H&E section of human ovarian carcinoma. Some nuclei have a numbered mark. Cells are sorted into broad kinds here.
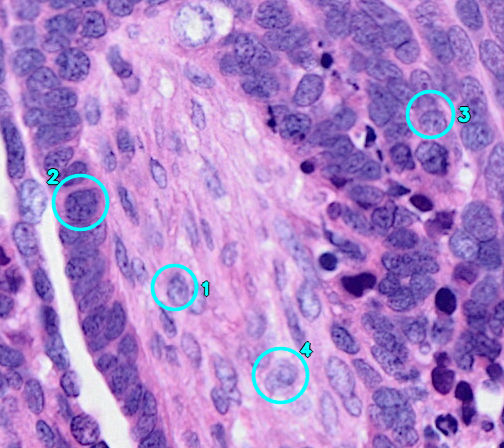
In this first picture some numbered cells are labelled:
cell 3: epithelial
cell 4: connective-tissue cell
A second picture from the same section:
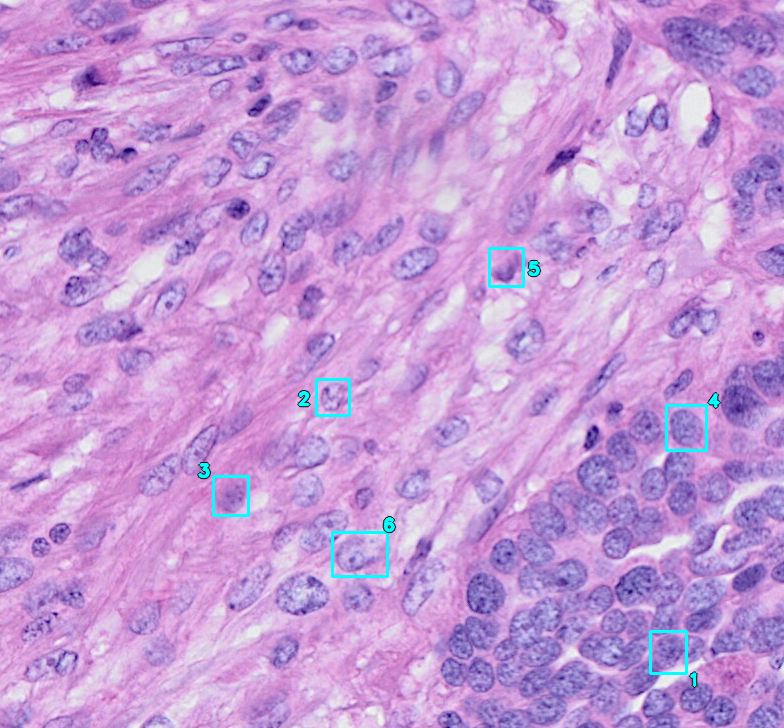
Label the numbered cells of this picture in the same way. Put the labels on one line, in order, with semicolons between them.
epithelial; connective-tissue cell; connective-tissue cell; epithelial; connective-tissue cell; connective-tissue cell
